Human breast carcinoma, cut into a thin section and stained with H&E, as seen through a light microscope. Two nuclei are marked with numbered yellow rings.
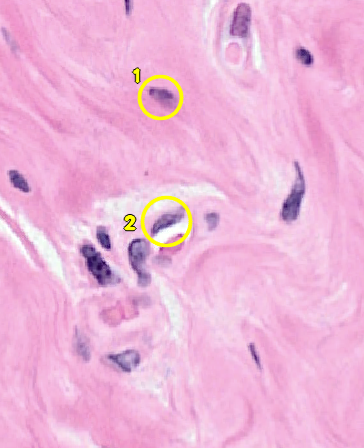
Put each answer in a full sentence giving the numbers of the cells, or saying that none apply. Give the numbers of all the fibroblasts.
Only at number 1 is there a fibroblast among the marked cells.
